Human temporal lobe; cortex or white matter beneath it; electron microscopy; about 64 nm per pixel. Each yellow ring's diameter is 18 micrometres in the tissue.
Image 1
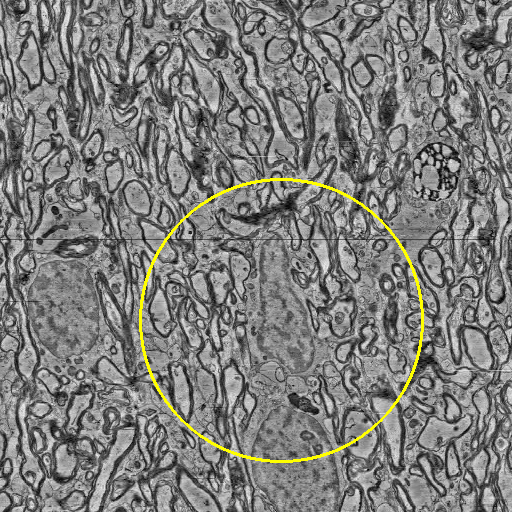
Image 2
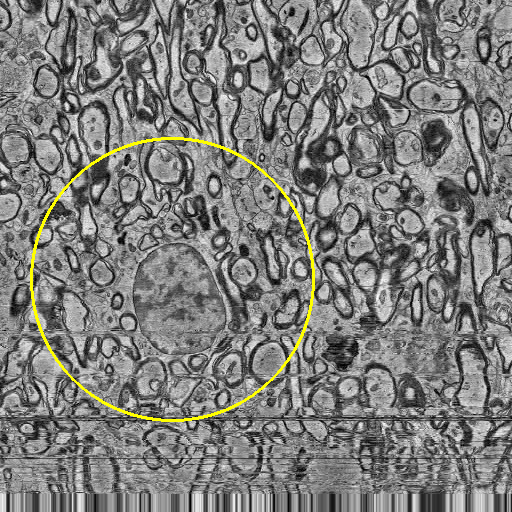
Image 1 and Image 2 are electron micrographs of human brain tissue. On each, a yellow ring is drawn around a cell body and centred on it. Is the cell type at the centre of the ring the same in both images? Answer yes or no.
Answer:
no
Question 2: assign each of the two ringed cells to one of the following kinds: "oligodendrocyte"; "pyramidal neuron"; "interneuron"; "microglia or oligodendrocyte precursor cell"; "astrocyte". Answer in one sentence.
The two cells are an oligodendrocyte in the first picture and a microglial cell or oligodendrocyte precursor cell in the second.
